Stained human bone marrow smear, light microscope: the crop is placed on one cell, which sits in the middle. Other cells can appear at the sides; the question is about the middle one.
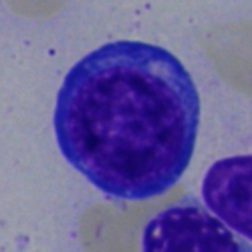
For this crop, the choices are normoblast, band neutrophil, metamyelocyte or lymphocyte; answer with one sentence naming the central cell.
Among the cells in view, the one in the middle is a normoblast.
